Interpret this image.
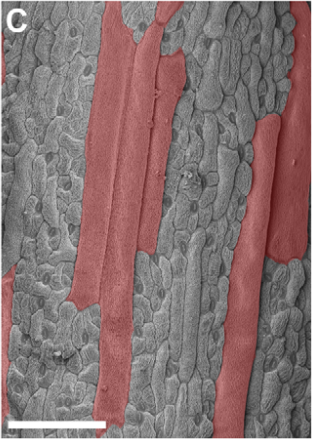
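The surface of a plant organ is seen in scanning electron micrograph, and it is an epidermis made of cells of two very different sizes. Several cells coloured red are extremely long and narrow, stretching along the organ and lying roughly parallel to one another. Between them lie many much smaller grey cells with wavy, jigsaw-like outlines, packed tightly together.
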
